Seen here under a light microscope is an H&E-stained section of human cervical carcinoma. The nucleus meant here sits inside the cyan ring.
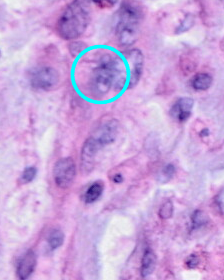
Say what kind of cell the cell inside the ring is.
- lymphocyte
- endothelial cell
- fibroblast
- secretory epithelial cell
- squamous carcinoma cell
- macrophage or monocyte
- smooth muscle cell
endothelial cell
